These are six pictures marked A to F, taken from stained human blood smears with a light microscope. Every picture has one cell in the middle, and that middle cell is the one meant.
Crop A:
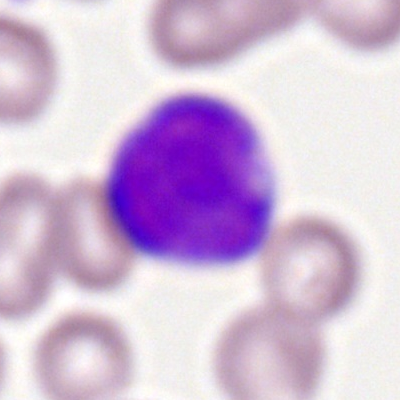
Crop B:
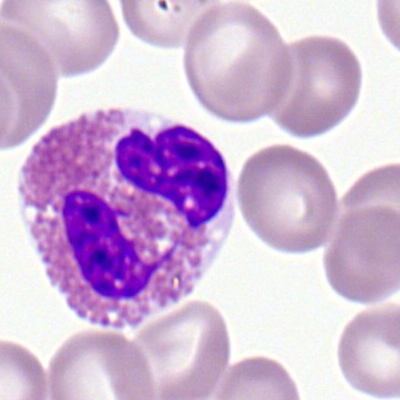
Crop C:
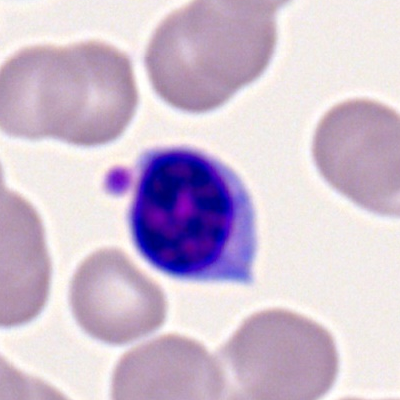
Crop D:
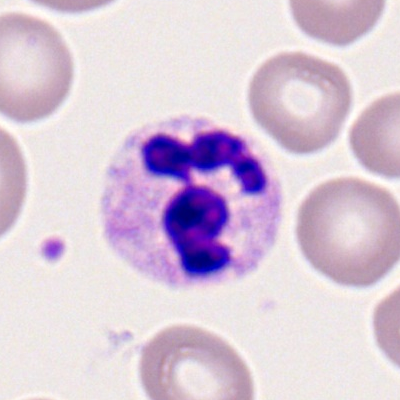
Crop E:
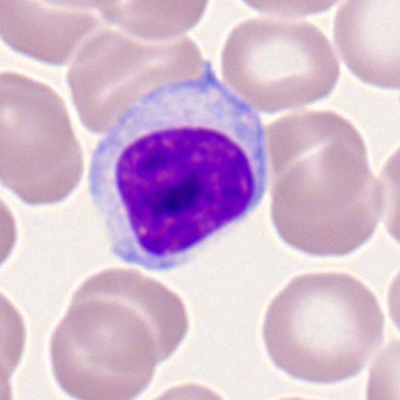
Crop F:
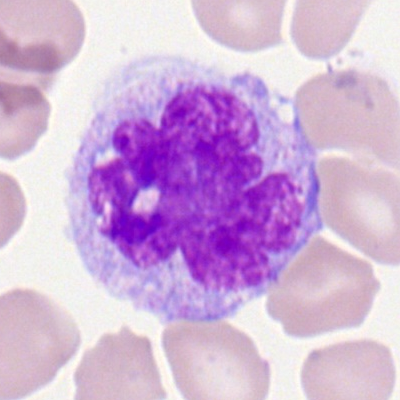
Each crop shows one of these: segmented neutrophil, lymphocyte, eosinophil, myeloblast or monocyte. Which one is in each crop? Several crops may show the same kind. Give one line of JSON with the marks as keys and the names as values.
{"A": "myeloblast", "B": "eosinophil", "C": "lymphocyte", "D": "segmented neutrophil", "E": "lymphocyte", "F": "monocyte"}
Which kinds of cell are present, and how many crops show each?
lymphocyte: 2
myeloblast: 1
eosinophil: 1
segmented neutrophil: 1
monocyte: 1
